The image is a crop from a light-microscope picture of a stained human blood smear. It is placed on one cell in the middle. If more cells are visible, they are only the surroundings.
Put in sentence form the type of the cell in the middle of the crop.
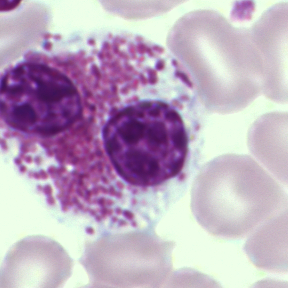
The cell under consideration, at the middle of the crop, is an eosinophil.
